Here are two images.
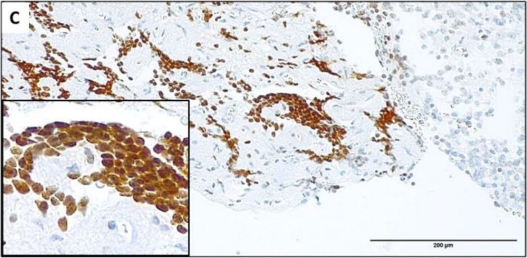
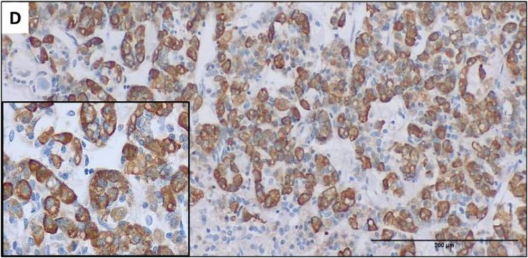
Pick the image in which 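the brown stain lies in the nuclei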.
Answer: The first image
